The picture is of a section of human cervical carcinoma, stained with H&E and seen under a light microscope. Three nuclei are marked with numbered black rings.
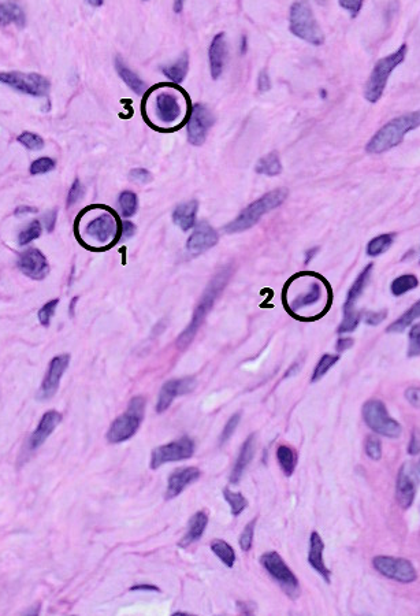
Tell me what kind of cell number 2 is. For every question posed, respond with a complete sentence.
In this section, the cell tagged 2 is a fibroblast.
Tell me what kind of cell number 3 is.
Numbered cell 3 is a lymphocyte in this tissue section.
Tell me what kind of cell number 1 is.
It is as a fibroblast that the cell numbered 1 is identified.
